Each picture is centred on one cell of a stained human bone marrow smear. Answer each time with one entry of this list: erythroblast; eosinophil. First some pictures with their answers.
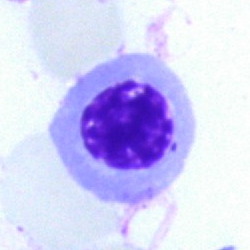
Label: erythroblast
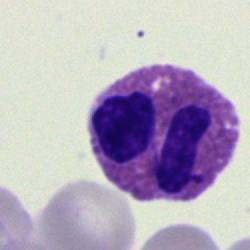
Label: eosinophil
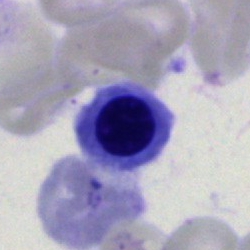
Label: erythroblast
